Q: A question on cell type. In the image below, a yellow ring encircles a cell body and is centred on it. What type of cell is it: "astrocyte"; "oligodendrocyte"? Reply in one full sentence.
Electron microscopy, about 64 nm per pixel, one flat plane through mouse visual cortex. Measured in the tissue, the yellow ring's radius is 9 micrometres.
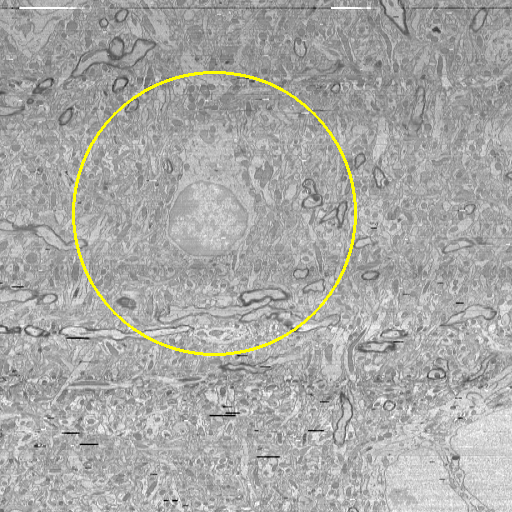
It is an oligodendrocyte whose cell body sits at the centre of the yellow ring in the image.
